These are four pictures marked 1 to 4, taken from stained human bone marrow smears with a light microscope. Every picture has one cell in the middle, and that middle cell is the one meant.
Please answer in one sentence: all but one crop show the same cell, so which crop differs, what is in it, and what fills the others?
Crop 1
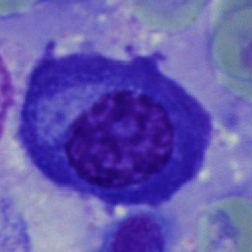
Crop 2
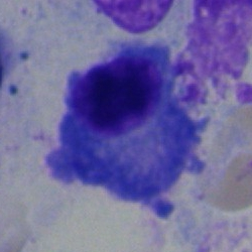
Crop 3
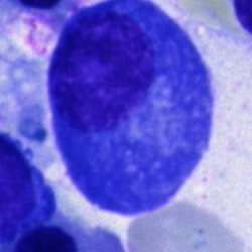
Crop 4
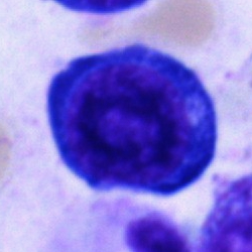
Crop 4 differs from the others in showing a proerythroblast; the rest all show plasma cells.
